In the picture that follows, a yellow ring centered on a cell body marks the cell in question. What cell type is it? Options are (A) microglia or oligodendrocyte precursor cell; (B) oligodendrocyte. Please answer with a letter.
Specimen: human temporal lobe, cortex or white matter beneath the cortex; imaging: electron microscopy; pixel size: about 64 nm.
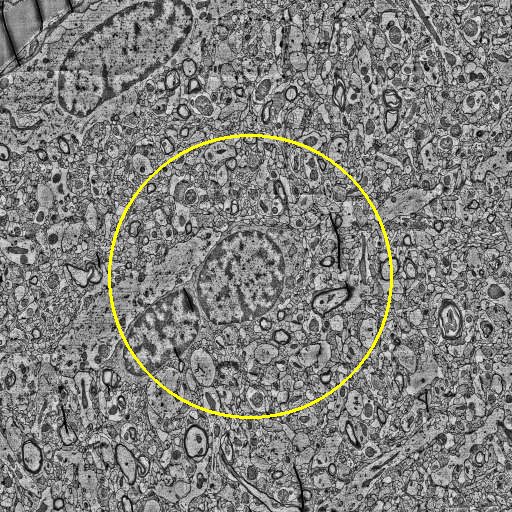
B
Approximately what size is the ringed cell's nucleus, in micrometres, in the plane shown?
The nucleus comes to roughly 6 by 5 micrometres in this plane.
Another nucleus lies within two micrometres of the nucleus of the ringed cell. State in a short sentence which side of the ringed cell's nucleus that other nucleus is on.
The other nucleus is located to the lower left of it.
